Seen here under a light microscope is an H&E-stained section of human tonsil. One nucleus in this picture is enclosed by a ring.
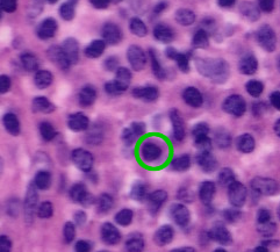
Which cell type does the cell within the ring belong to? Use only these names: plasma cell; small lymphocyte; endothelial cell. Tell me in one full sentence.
By its classification, the cell within the ring is a plasma cell.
